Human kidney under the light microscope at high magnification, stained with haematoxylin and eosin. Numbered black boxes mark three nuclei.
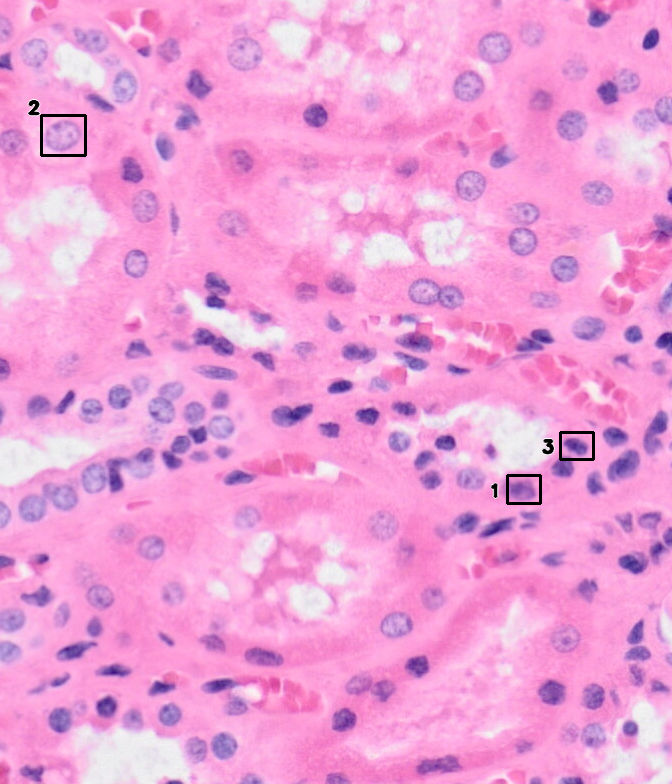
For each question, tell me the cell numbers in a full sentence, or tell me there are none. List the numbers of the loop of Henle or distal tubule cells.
The numbers 1 and 3 mark cells that are loop of Henle or distal tubule cells.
